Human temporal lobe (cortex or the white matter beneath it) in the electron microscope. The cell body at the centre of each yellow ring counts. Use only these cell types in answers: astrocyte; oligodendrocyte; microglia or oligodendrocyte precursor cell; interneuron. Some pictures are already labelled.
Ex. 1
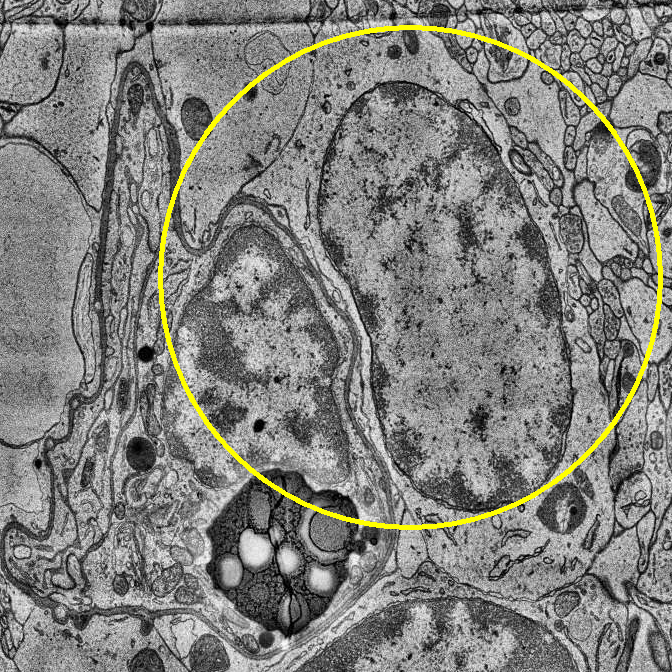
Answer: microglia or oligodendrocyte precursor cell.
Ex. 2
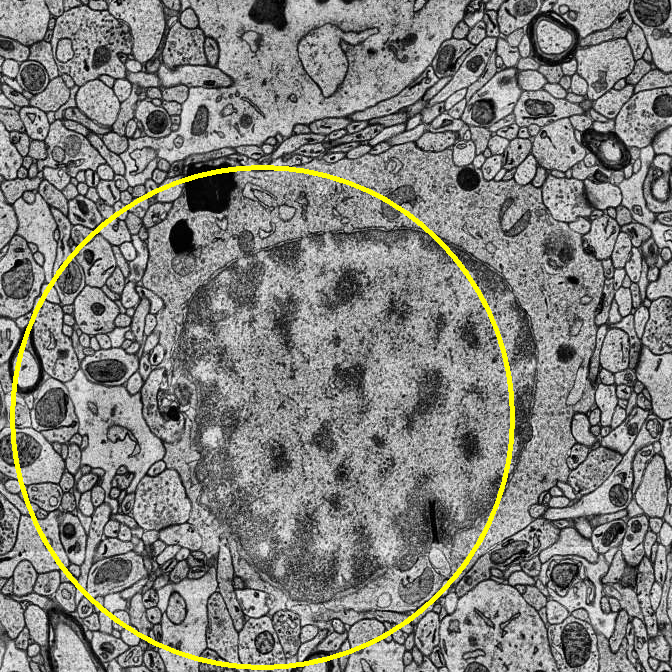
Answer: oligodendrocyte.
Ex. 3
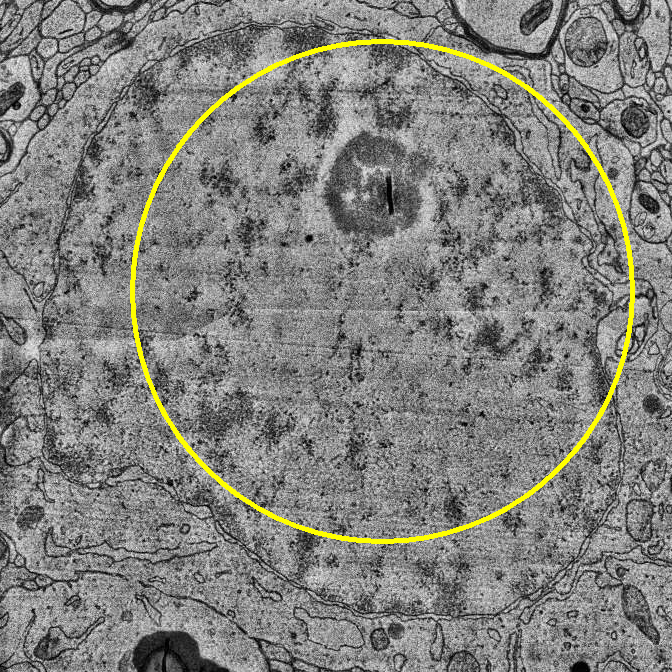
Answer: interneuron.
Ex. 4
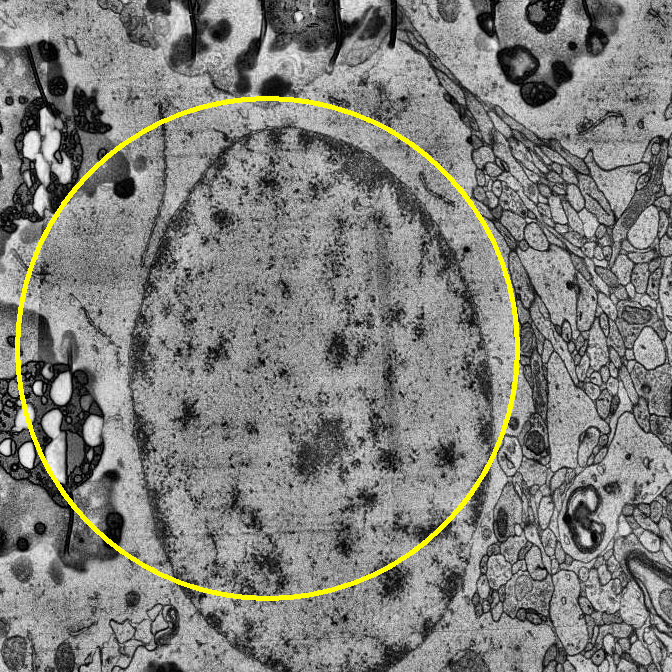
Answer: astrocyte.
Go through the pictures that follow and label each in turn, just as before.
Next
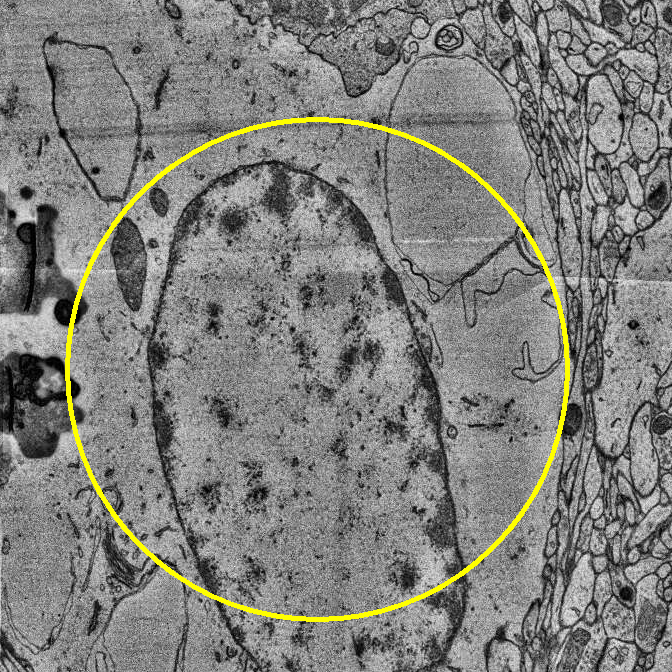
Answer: astrocyte.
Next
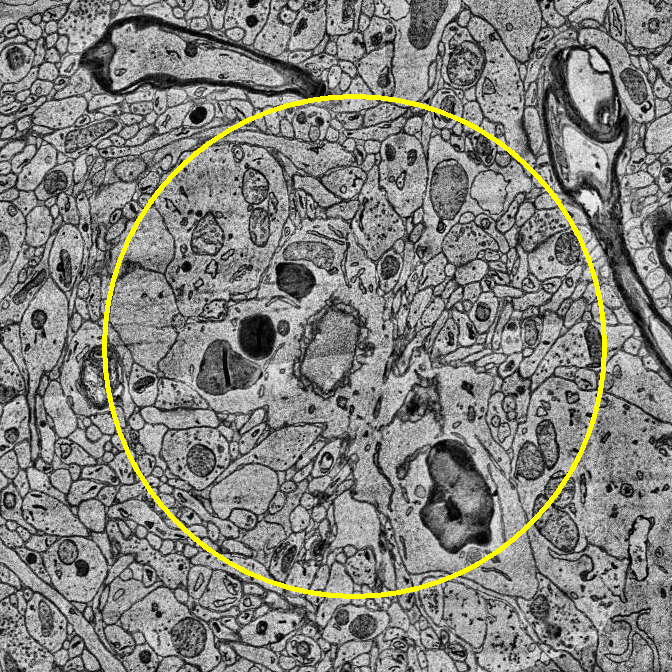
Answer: microglia or oligodendrocyte precursor cell.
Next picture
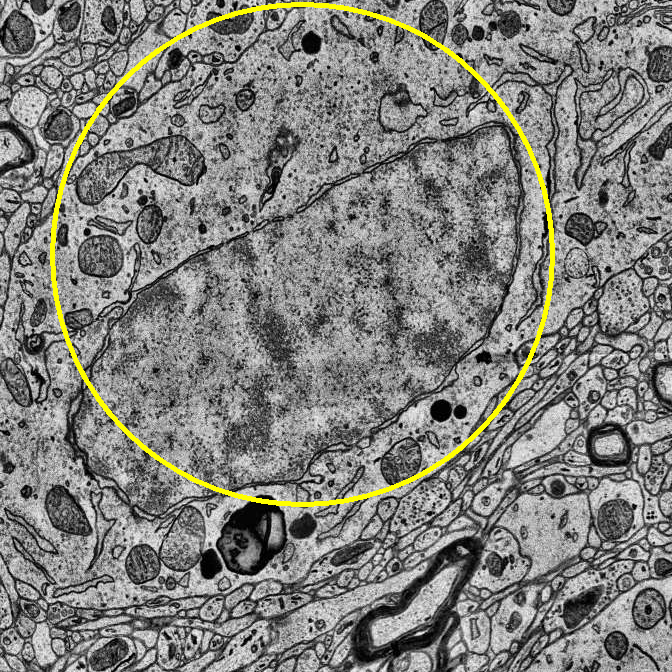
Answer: interneuron.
